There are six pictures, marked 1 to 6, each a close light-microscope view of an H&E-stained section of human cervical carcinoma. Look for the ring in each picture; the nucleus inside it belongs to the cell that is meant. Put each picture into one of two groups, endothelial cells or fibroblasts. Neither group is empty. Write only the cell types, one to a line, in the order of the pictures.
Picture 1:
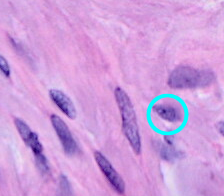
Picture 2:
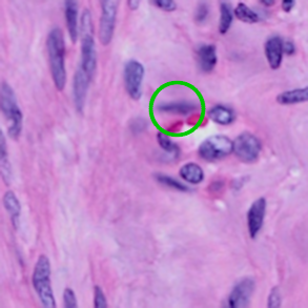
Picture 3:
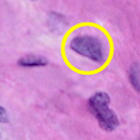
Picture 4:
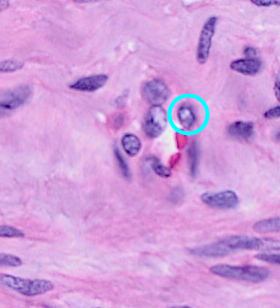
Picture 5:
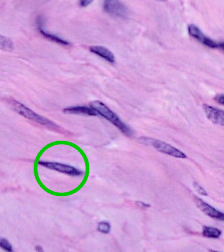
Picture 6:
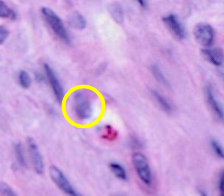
fibroblast
endothelial cell
fibroblast
endothelial cell
fibroblast
endothelial cell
